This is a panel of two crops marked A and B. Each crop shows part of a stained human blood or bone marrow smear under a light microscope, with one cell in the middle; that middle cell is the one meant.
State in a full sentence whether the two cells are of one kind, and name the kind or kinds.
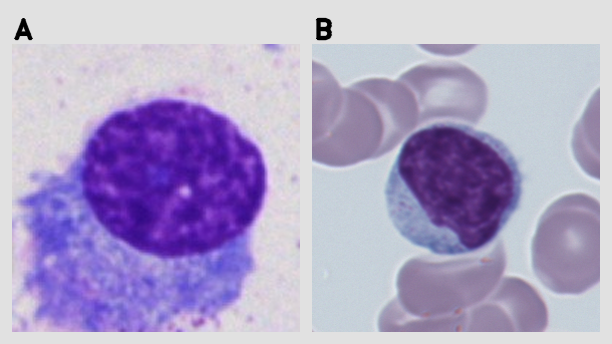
No, crop A represents a plasma cell, and crop B represents a lymphocyte.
